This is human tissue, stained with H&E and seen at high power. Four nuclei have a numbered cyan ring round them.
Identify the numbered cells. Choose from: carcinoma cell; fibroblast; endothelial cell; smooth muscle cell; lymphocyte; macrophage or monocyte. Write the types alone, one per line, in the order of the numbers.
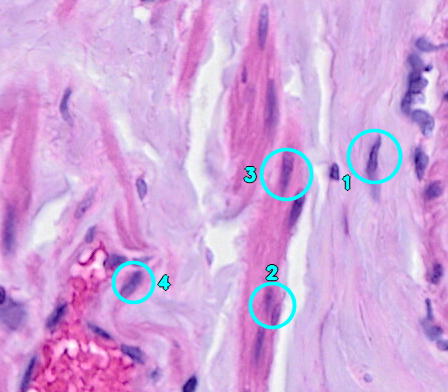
fibroblast
smooth muscle cell
smooth muscle cell
smooth muscle cell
